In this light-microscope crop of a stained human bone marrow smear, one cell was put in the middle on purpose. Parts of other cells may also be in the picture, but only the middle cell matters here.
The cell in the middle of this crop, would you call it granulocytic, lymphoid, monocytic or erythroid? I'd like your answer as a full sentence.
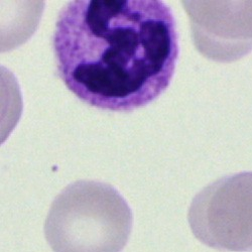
The cell in the middle of the crop belongs to the granulocytic lineage.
